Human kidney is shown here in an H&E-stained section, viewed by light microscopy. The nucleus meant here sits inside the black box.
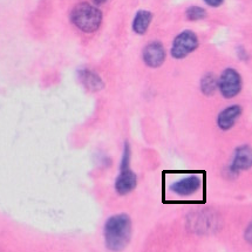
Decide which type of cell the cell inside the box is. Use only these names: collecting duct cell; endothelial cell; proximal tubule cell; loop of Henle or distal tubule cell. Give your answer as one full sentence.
The identity of the cell inside the box: it is an endothelial cell.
